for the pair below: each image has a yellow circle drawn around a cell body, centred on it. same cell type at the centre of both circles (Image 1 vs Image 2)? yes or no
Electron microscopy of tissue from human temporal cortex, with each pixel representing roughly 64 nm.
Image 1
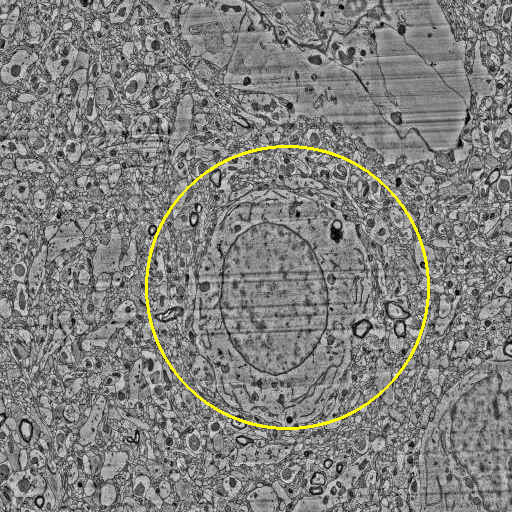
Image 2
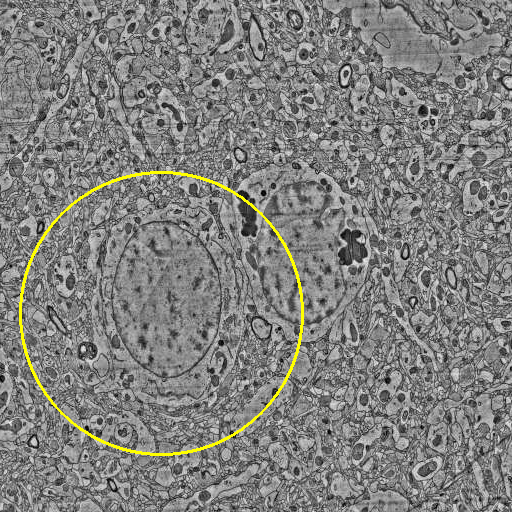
yes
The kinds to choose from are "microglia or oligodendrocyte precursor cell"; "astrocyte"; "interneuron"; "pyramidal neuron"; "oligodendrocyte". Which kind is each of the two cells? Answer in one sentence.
Each cell, in the first picture and the second, is a pyramidal neuron.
